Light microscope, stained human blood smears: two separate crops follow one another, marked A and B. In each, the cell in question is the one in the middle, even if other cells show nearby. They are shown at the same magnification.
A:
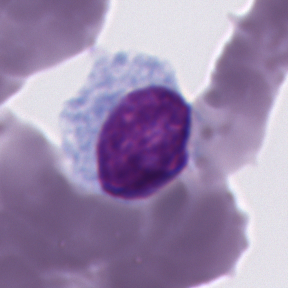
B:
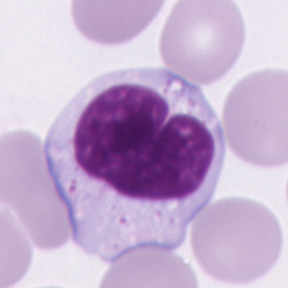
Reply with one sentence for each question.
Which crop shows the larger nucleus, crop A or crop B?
The nucleus in crop B is larger, with about 1.5 times the area of the one in crop A.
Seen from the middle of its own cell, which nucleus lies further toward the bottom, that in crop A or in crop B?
In crop A the nucleus is shifted more toward the bottom.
